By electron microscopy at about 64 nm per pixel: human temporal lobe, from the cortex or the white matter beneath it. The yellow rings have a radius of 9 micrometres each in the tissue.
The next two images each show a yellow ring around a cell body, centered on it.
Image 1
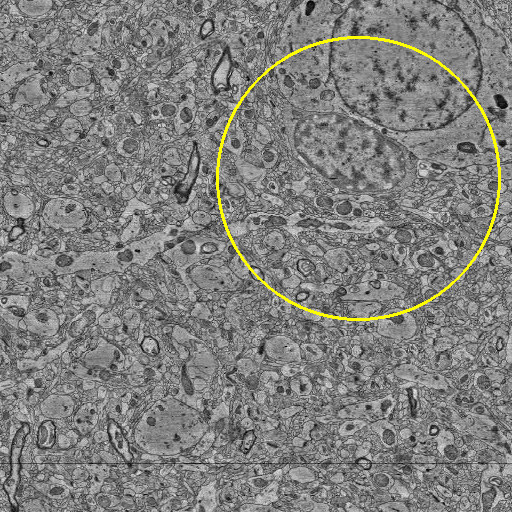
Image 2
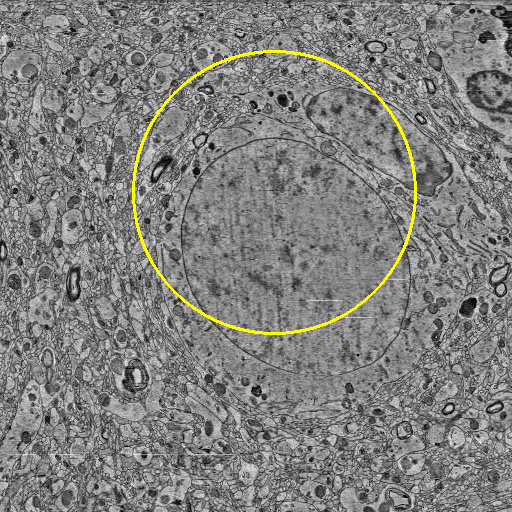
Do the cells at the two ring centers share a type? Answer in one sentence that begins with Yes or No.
No, across the two images the cells at the ring centers are of two types.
